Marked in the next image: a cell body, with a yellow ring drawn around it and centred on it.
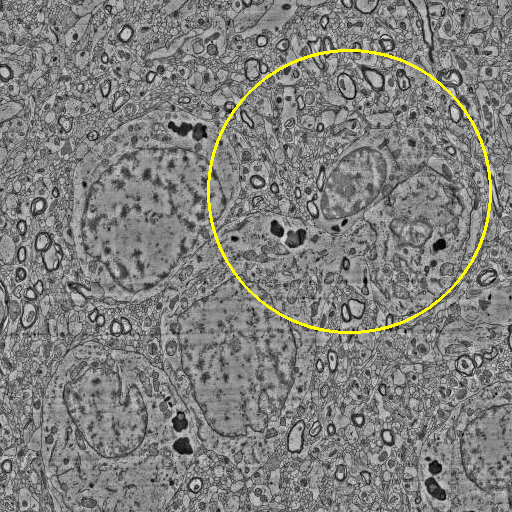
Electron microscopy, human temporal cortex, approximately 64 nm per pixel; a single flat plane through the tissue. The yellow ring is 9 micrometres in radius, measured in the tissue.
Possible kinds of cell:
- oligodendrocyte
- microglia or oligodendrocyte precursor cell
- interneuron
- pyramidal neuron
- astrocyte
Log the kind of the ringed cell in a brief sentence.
The ringed cell body is that of an oligodendrocyte.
